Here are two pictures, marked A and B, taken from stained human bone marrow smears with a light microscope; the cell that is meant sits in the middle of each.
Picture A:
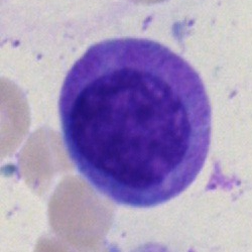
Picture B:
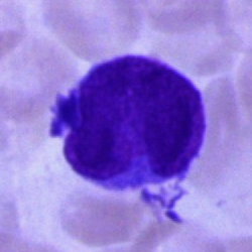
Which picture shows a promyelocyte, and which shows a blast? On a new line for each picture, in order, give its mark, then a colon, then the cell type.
A: promyelocyte
B: blast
